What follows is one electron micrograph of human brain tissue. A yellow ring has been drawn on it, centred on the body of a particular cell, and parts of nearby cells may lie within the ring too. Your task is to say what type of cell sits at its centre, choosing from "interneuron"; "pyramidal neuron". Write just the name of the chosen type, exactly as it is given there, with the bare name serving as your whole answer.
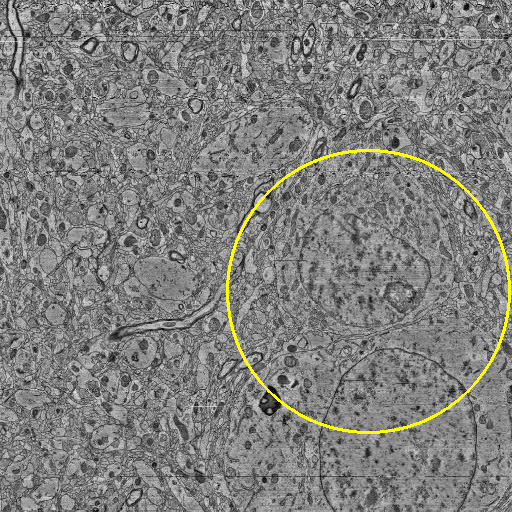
interneuron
